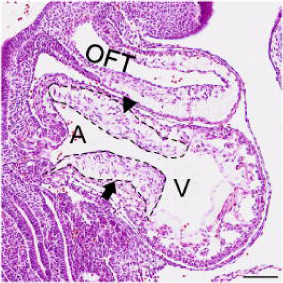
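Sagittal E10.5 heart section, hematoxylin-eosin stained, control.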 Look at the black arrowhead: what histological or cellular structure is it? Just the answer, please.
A: cushion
